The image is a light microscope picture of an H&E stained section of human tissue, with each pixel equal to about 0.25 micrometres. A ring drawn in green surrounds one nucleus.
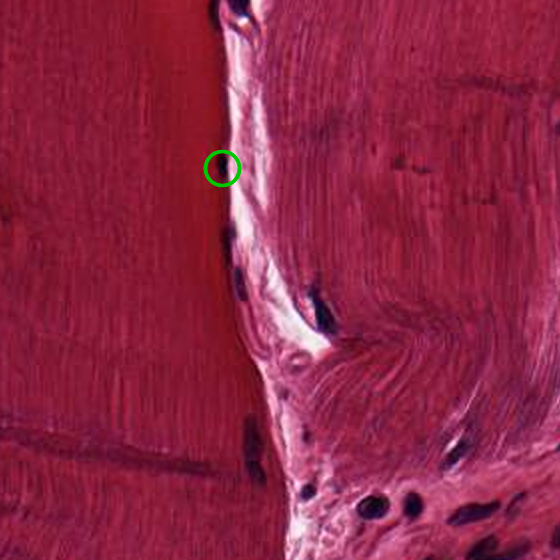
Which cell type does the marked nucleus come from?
skeletal muscle fibre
